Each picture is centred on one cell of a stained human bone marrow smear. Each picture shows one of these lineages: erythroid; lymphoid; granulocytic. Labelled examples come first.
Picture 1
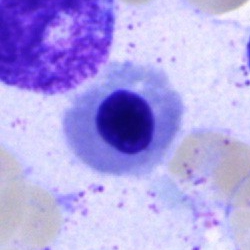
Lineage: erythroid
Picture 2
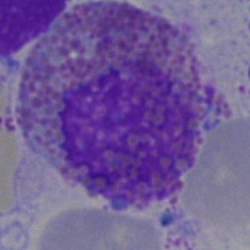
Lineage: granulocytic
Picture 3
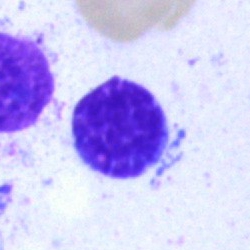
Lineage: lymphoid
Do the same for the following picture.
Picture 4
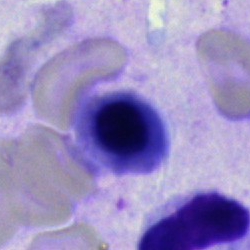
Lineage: erythroid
